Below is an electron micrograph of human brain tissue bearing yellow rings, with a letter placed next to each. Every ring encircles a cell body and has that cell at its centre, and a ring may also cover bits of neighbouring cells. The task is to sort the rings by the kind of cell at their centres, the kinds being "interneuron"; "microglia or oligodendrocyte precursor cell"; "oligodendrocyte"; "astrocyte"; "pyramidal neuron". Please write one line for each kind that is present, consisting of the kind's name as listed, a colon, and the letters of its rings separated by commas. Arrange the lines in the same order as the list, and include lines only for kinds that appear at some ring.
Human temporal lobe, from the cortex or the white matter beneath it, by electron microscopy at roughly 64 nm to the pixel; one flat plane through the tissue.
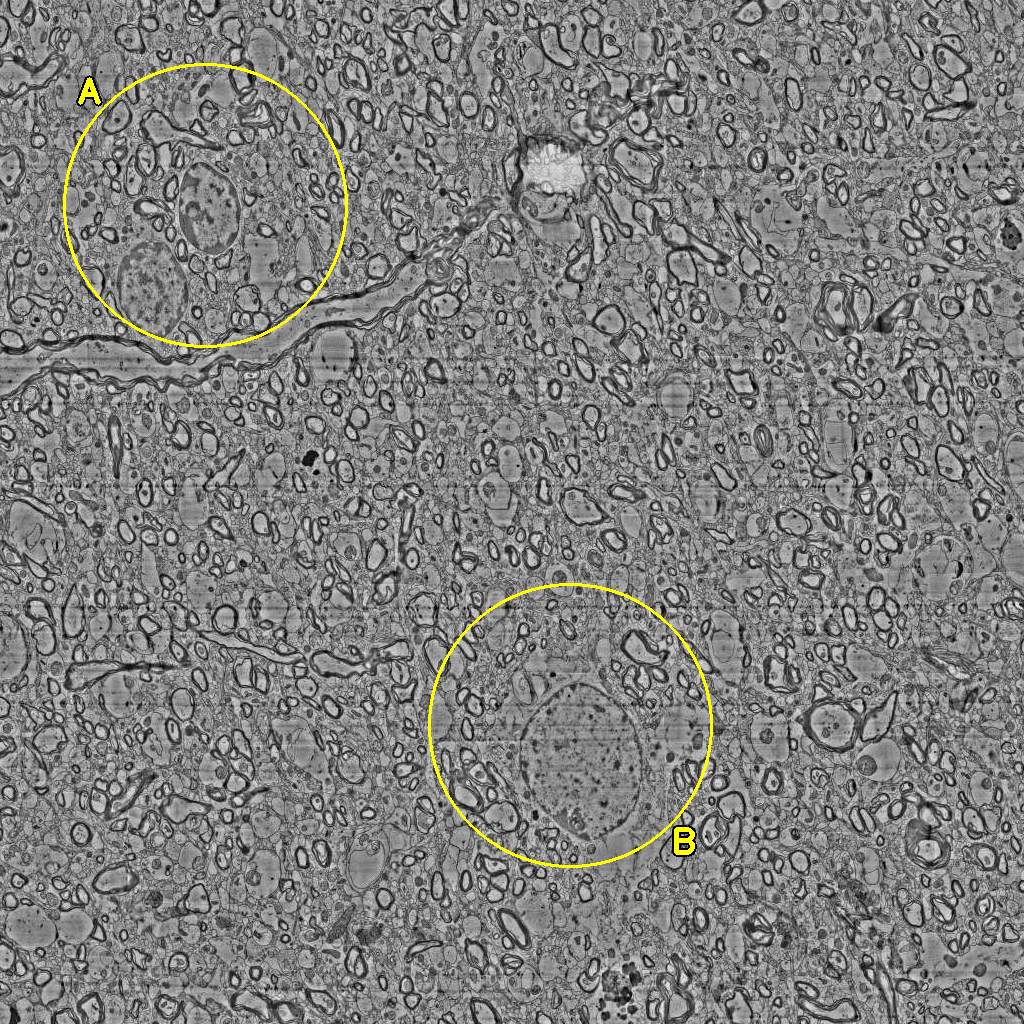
microglia or oligodendrocyte precursor cell: A
astrocyte: B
